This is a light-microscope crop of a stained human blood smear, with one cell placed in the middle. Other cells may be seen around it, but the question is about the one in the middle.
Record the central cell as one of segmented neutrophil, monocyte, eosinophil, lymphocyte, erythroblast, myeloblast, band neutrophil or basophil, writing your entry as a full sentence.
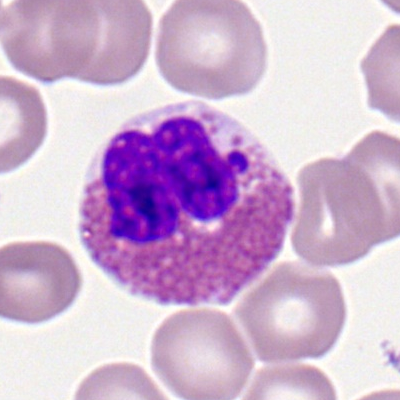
The cell at the middle of the crop is recognized as an eosinophil.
